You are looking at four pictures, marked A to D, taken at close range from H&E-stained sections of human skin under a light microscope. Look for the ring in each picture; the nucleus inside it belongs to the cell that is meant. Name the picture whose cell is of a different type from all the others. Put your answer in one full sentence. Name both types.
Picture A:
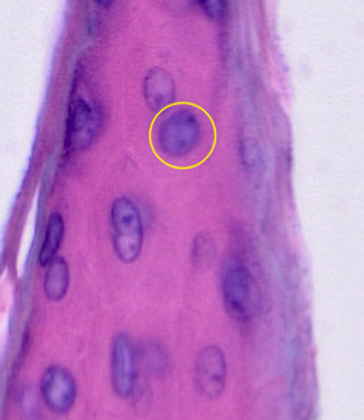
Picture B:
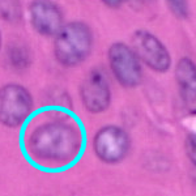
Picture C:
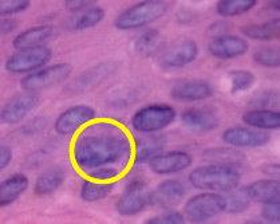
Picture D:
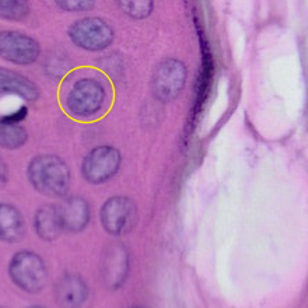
The different one is picture C; it shows a basal keratinocyte, whereas all the others show suprabasal keratinocytes.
